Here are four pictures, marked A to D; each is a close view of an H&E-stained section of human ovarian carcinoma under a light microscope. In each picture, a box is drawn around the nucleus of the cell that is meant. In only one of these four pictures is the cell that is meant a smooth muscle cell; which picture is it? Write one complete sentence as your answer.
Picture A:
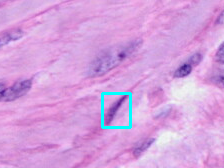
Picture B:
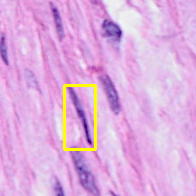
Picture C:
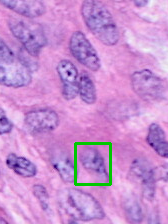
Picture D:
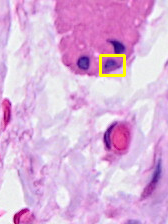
Picture D is the one that shows the smooth muscle cell.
